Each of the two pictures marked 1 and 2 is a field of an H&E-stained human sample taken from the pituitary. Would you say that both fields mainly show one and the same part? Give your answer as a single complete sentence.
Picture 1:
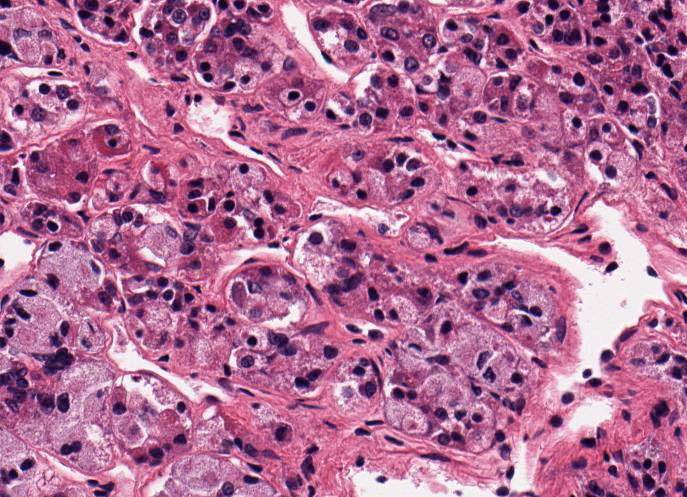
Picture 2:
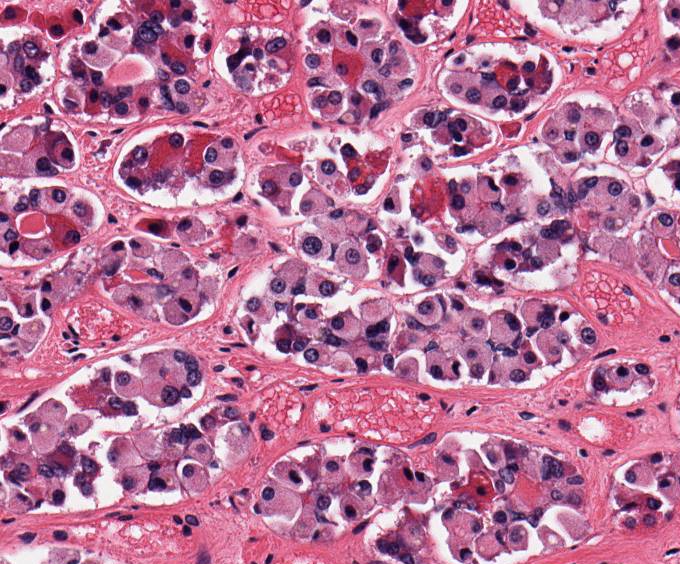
Yes, the two fields both mainly show the pars distalis.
